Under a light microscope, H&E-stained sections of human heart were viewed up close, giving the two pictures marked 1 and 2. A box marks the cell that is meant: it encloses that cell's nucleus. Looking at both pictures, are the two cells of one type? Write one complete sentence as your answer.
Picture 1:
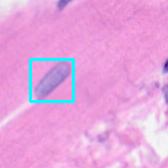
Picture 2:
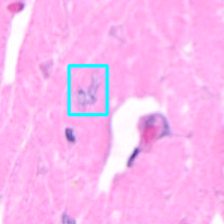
Yes; the cells in both pictures are cardiomyocytes.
